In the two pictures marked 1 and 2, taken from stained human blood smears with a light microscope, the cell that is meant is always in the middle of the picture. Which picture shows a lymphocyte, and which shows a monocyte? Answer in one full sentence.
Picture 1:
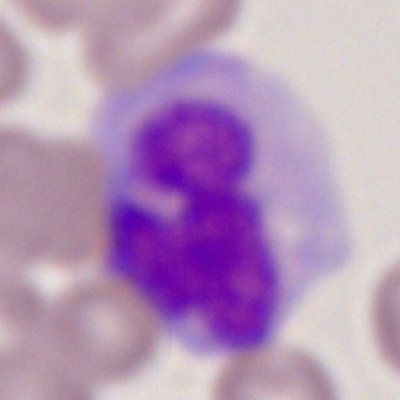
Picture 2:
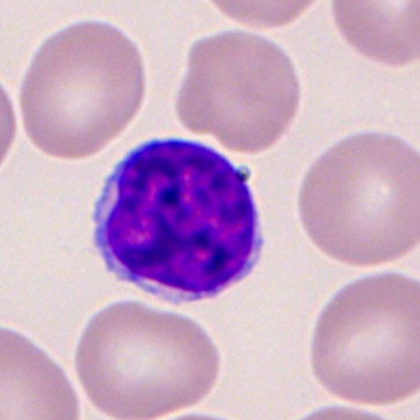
Picture 1 is of a monocyte, and picture 2 is of a lymphocyte.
